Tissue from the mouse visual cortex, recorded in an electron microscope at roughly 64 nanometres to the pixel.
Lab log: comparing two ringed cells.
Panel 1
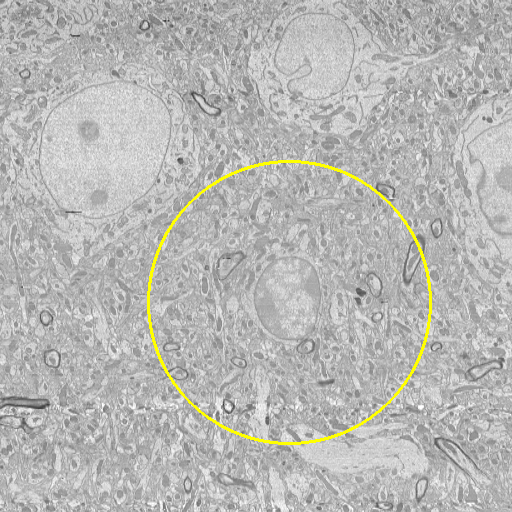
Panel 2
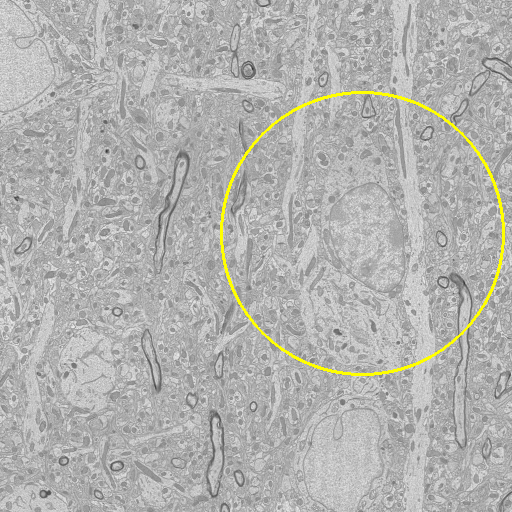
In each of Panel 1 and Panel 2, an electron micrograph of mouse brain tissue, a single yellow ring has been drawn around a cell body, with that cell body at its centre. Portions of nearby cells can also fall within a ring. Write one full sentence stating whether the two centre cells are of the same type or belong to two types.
The cells at the ring centres in Panel 1 and Panel 2 are of the same type.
